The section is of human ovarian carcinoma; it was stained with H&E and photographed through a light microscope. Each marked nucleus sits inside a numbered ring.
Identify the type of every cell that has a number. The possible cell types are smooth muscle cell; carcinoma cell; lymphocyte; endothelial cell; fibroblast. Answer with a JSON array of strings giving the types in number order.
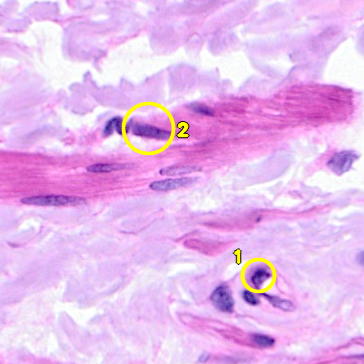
["endothelial cell", "smooth muscle cell"]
